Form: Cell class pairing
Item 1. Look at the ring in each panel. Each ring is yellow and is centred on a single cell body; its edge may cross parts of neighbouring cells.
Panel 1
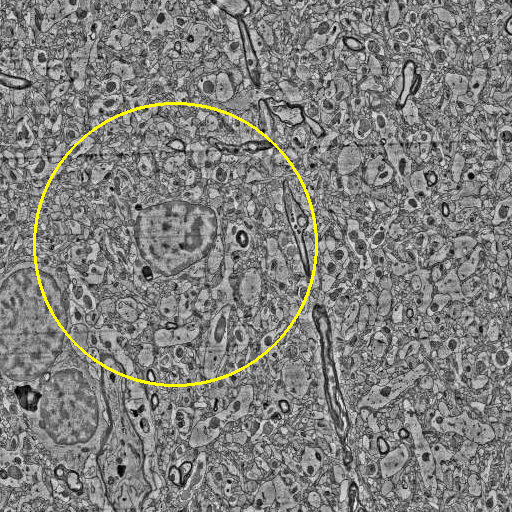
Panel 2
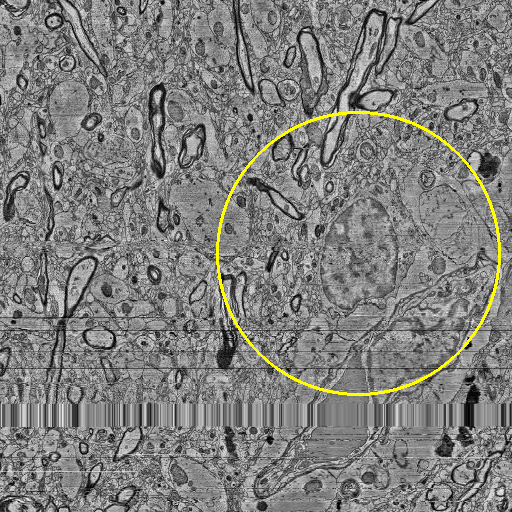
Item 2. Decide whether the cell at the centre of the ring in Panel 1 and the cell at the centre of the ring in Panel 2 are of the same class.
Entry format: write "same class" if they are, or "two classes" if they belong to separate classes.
two classes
